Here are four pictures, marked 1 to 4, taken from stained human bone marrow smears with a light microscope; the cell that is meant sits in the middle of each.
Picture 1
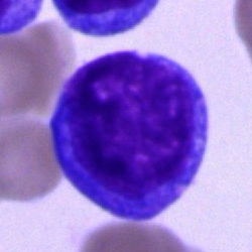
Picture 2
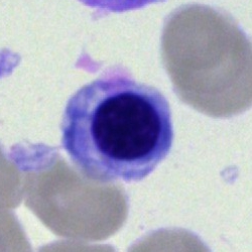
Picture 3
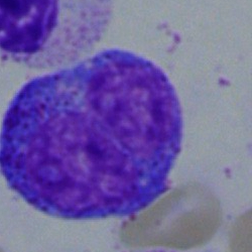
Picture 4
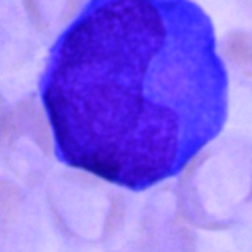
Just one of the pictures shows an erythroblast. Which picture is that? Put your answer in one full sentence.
The cell in picture 2 is the erythroblast.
